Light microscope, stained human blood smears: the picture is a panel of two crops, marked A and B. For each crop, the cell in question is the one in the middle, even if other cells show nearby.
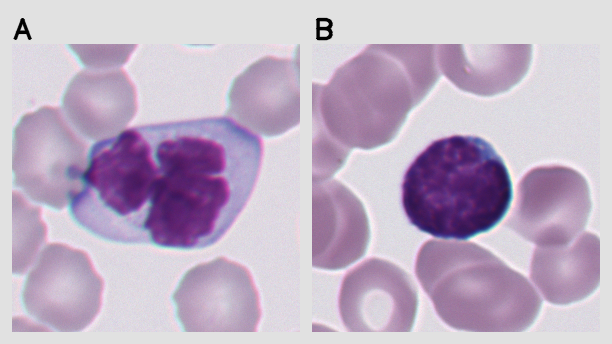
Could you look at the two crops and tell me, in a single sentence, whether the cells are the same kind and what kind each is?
Yes, the central cells, in both crops, are lymphocytes.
